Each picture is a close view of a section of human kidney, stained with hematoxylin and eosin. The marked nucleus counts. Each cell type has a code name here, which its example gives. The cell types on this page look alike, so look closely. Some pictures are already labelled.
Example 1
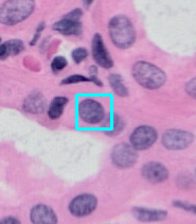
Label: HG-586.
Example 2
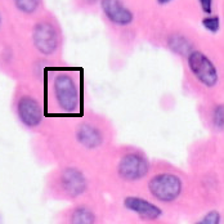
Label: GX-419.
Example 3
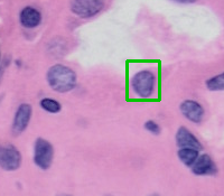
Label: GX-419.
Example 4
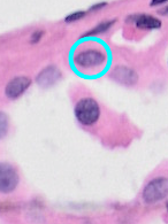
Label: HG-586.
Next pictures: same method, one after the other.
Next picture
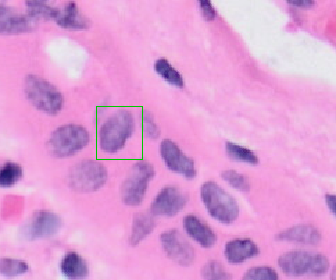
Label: HG-586.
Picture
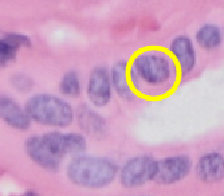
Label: HG-586.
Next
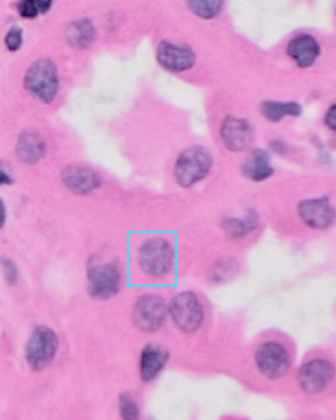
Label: GX-419.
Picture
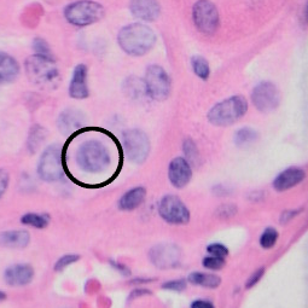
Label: HG-586.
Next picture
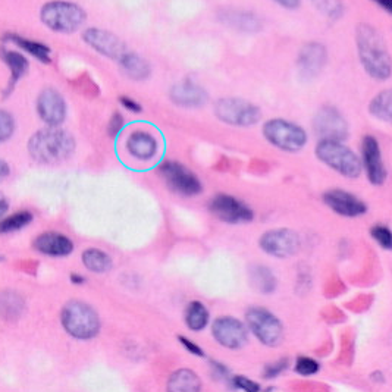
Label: HG-586.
